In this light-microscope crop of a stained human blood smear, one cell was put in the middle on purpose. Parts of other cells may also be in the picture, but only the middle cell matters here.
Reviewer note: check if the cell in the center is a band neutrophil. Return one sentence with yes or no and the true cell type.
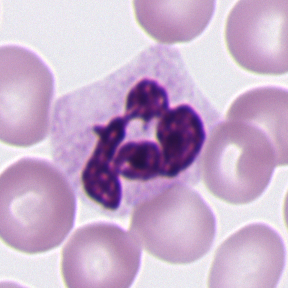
No, the central cell is a segmented neutrophil; it should not be labelled a band neutrophil.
